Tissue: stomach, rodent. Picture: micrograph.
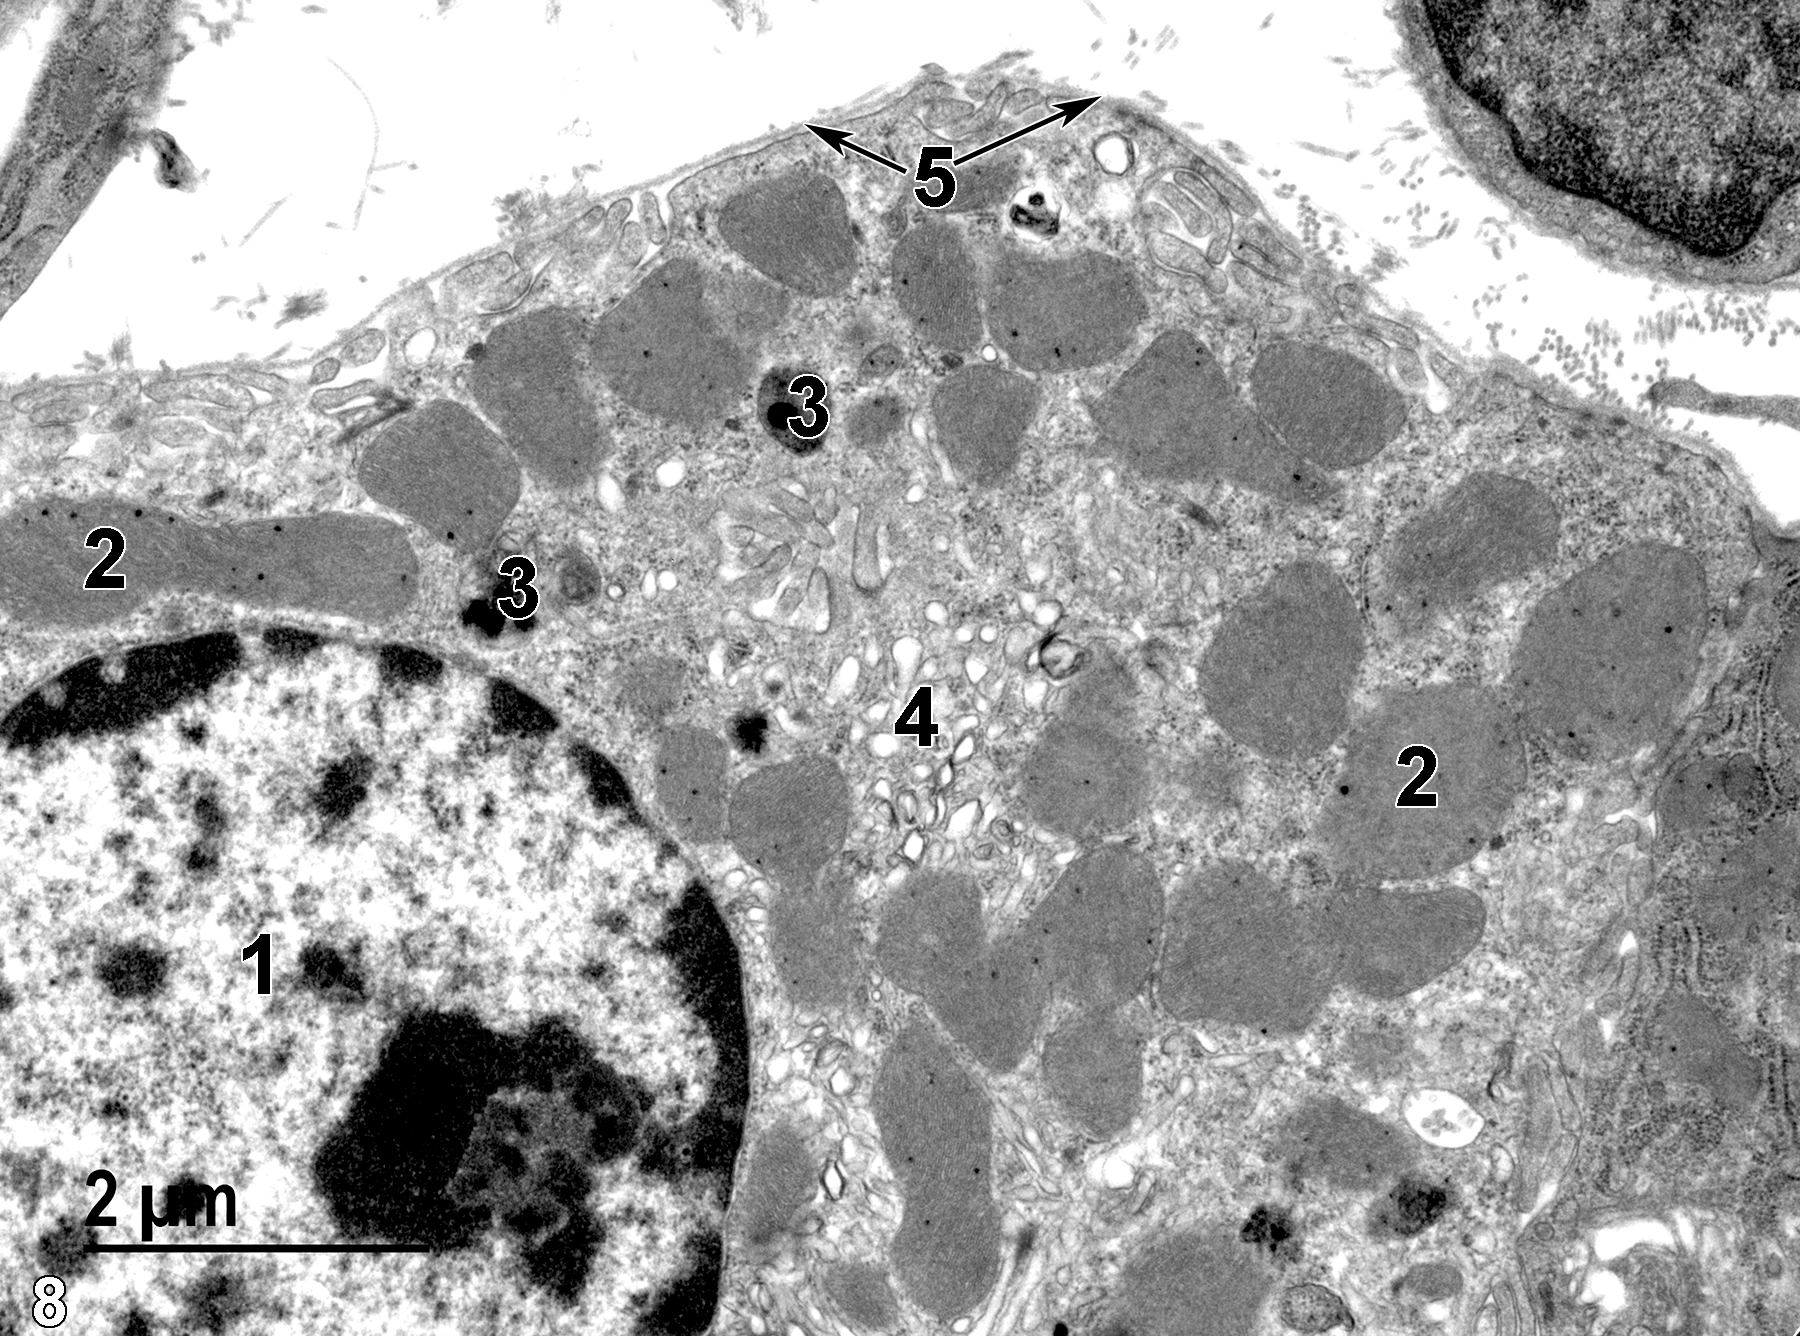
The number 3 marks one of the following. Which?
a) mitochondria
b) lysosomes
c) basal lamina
b) lysosomes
